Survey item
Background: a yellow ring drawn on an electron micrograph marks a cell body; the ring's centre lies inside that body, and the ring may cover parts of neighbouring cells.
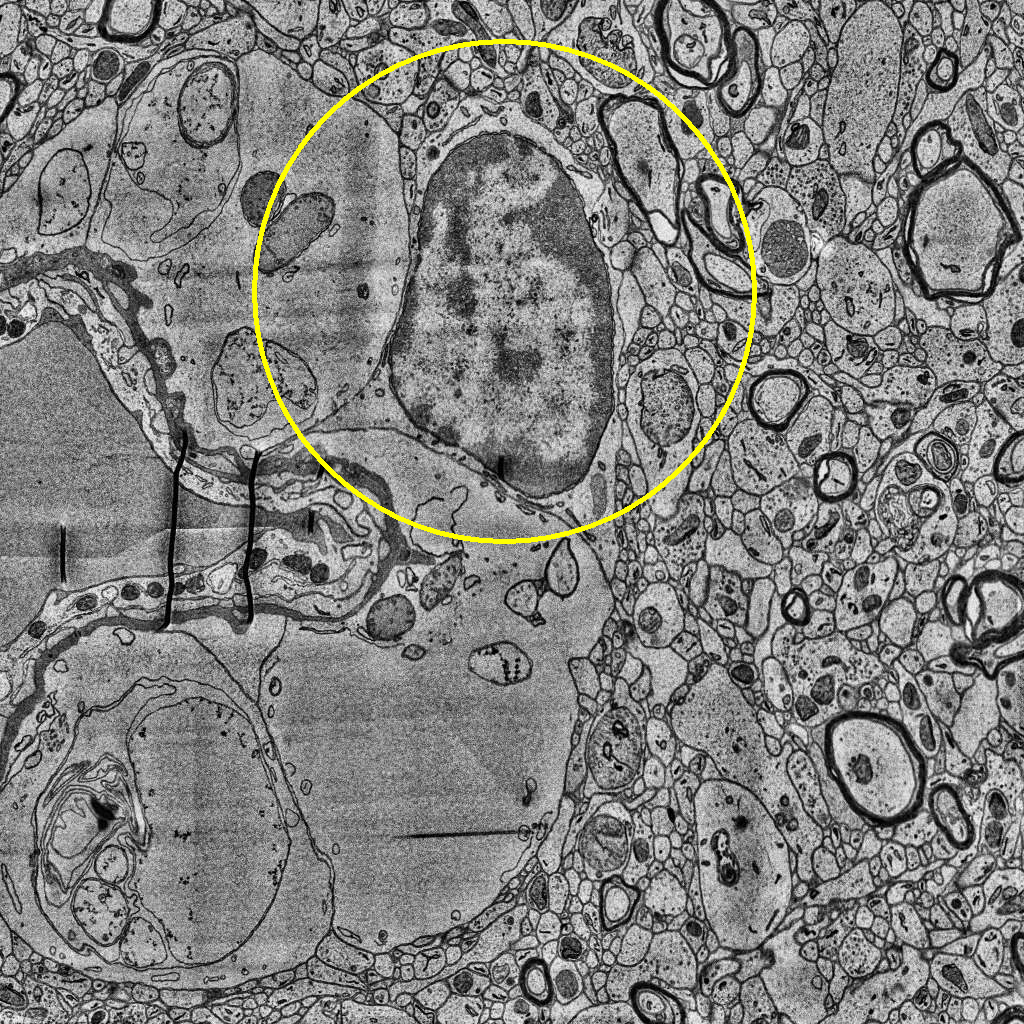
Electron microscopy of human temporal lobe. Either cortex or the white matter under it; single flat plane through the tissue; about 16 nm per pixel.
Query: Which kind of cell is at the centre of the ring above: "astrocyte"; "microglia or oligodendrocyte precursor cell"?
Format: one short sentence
The cell in the middle of the ring is a microglial cell or oligodendrocyte precursor cell.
